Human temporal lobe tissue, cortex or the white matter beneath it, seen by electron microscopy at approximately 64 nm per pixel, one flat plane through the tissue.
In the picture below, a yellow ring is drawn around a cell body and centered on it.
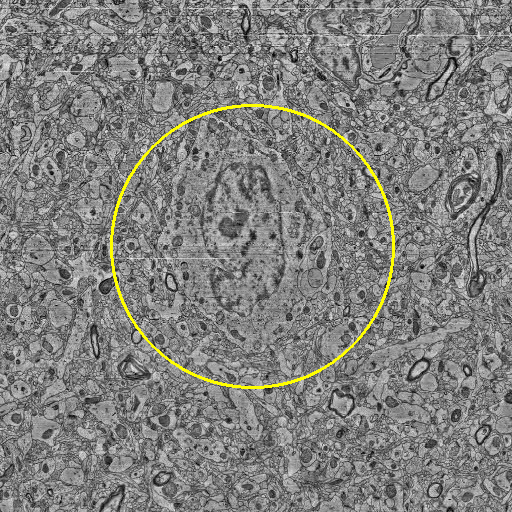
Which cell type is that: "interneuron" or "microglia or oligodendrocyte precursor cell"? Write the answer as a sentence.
The cell centered in the ring is an interneuron.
